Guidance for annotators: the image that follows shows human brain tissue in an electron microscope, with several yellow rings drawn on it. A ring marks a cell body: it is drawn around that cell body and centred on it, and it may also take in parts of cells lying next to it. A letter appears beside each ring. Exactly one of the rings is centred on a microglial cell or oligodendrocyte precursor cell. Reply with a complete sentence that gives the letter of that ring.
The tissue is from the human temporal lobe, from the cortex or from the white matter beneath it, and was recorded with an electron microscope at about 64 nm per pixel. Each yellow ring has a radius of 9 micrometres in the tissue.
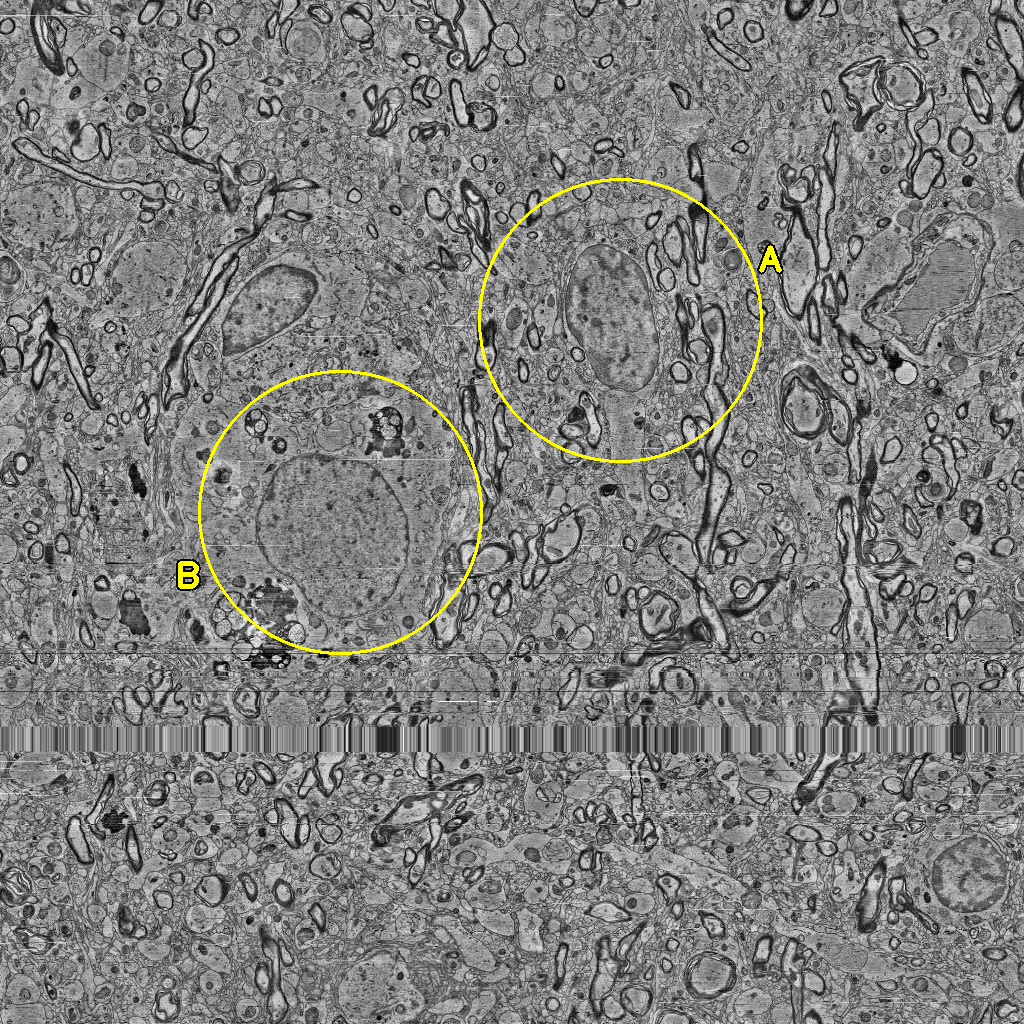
The ring lettered A is centred on that cell.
